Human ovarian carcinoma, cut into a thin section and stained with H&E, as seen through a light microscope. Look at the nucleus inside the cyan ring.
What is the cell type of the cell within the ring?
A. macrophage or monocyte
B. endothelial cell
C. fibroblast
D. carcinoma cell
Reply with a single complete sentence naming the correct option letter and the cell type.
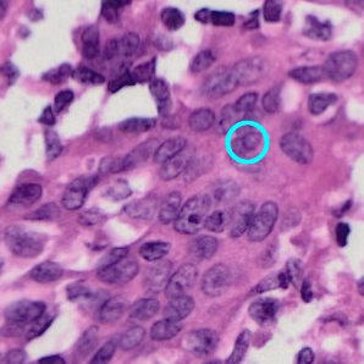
Of all the options, D is right, since the cell within the ring is a carcinoma cell.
